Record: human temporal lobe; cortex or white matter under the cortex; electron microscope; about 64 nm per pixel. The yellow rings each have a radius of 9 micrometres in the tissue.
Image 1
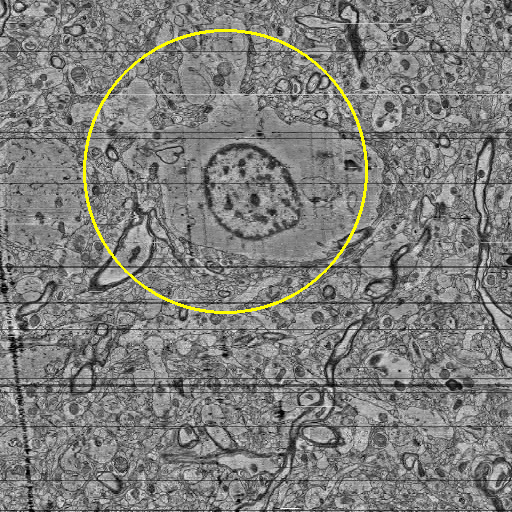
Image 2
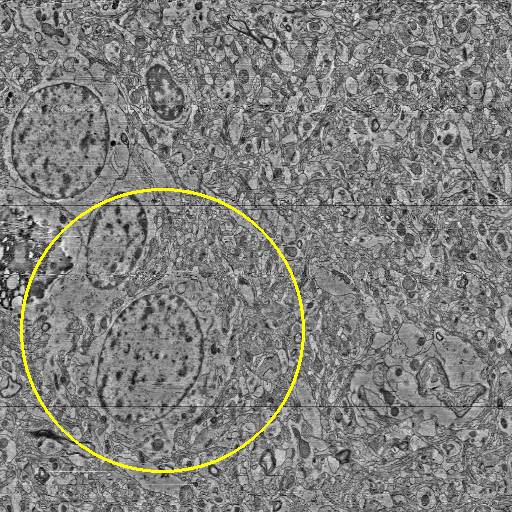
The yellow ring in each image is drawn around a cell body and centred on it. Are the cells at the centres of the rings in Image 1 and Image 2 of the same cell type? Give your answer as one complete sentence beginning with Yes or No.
Yes, both cells are of the same type.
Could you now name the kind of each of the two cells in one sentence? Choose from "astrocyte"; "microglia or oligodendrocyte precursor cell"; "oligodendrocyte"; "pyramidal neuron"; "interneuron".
In each of the two pictures, the ringed cell is an astrocyte.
